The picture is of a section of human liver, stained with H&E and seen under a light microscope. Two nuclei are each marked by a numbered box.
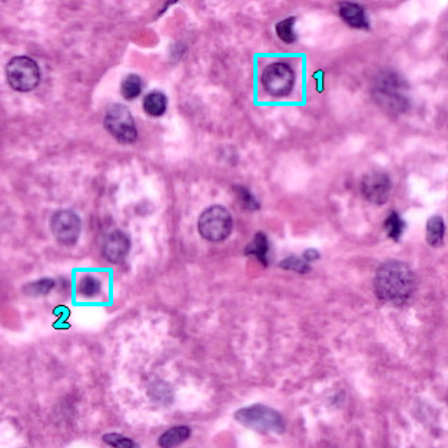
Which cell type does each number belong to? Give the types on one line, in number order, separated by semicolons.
hepatocyte; lymphocyte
